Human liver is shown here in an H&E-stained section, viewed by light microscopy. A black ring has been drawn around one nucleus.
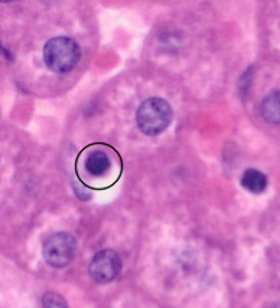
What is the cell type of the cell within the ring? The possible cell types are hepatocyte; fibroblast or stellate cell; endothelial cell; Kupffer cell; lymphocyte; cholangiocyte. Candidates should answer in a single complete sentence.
In the stained section, the cell within the ring is a lymphocyte.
